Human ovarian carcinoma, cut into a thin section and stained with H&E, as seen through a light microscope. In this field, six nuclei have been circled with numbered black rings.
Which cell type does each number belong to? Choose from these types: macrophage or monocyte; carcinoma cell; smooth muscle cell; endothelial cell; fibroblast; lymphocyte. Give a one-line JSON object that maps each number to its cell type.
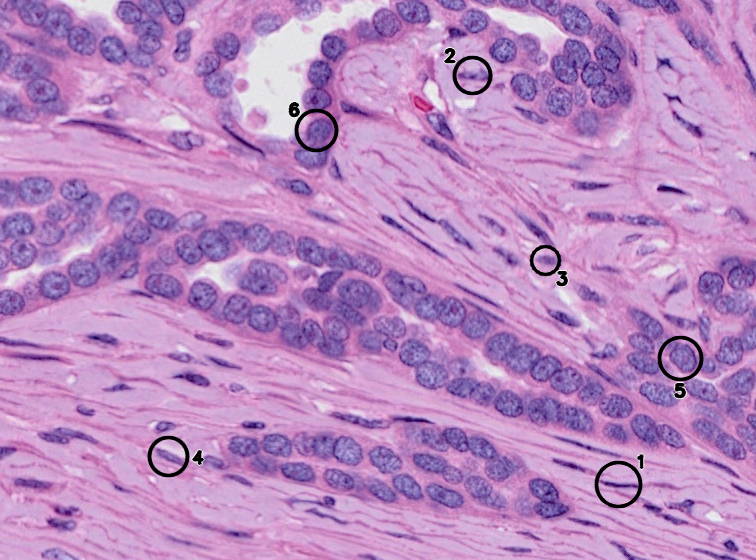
{"1": "fibroblast", "2": "fibroblast", "3": "fibroblast", "4": "fibroblast", "5": "carcinoma cell", "6": "carcinoma cell"}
